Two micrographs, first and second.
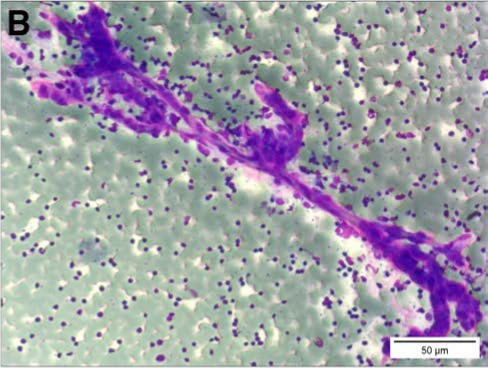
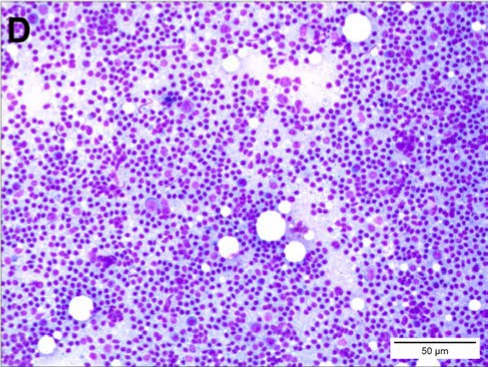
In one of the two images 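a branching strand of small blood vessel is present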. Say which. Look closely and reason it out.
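Second image: only dispersed round single cells, no strand-like tissue fragment. First image: a long branching fragment of elongated cells crosses the field. That points to this answer: the first image.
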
